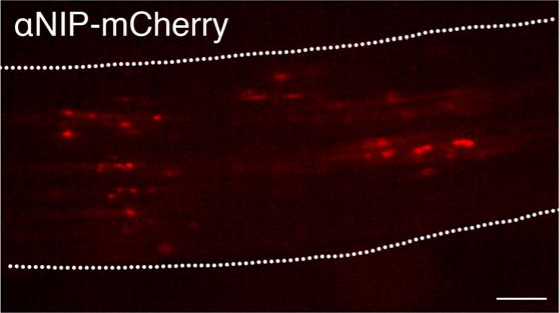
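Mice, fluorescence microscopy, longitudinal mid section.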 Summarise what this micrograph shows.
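At low magnification there is a long band of tissue, bounded above and below by white dotted lines, against a dark background. Inside the band, red fluorescence appears as thin, elongated streaks lying parallel to one another and to the long axis of the band. Scattered bright red spots lie along some of the streaks. The red is confined to a subset of streaks spread over the middle of the band, while much of the band stays dark.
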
